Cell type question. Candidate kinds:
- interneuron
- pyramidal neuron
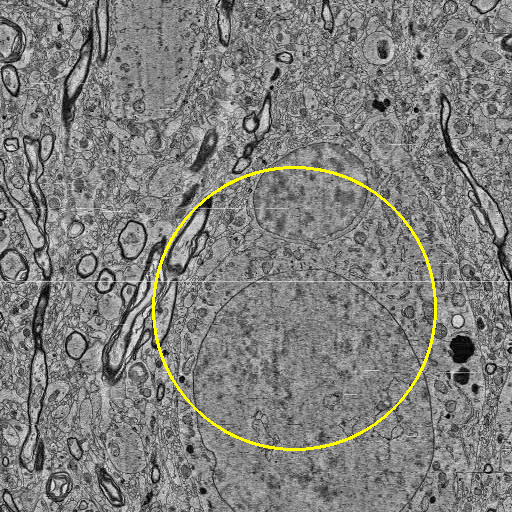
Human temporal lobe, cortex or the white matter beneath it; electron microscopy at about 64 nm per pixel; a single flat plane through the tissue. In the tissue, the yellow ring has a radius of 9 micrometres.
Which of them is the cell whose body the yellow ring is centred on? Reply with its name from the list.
pyramidal neuron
